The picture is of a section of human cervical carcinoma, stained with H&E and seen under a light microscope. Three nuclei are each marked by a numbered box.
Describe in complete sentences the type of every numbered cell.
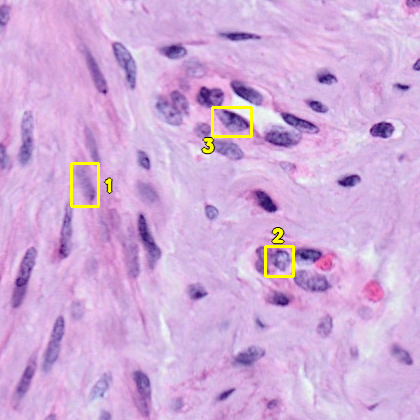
Cell 1 is a smooth muscle cell, cell 2 is an endothelial cell and cell 3 is an endothelial cell.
